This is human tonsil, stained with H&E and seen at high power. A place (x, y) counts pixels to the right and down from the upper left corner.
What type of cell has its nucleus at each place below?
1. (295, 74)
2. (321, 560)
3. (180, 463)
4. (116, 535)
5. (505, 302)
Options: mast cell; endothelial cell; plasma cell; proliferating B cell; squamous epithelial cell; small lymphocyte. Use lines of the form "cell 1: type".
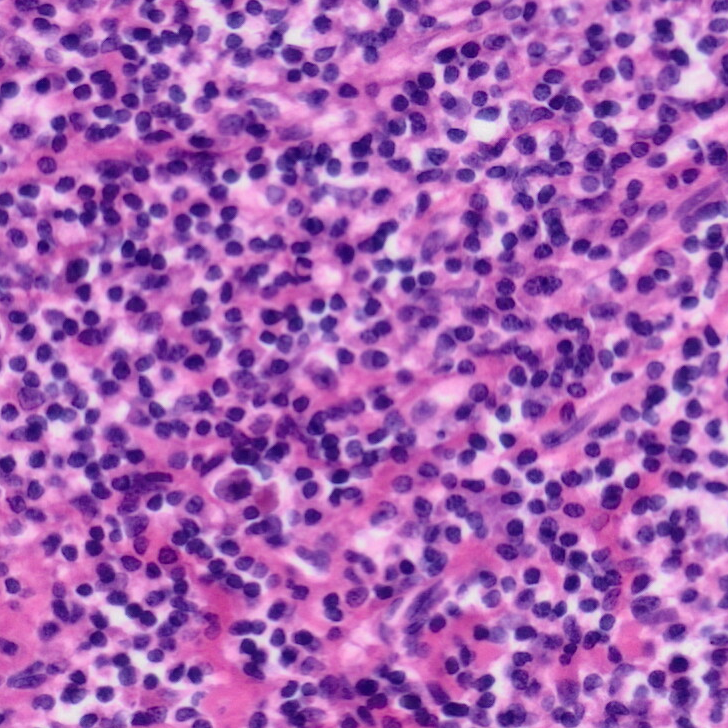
cell 1: small lymphocyte
cell 2: endothelial cell
cell 3: endothelial cell
cell 4: small lymphocyte
cell 5: plasma cell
